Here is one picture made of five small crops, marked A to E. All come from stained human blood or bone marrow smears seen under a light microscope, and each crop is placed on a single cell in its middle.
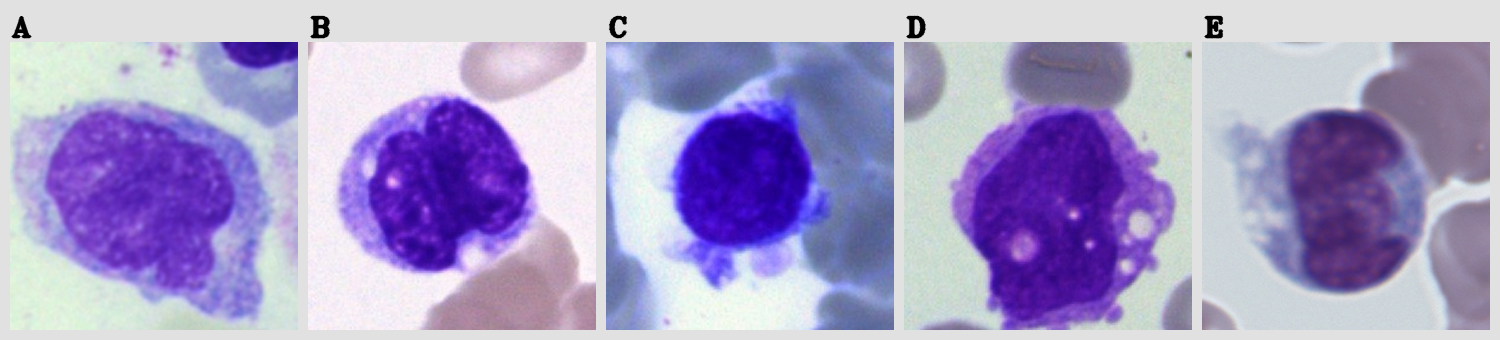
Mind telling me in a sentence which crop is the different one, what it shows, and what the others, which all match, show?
The odd one out is crop C, a hairy cell, and all other crops show monocytes.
